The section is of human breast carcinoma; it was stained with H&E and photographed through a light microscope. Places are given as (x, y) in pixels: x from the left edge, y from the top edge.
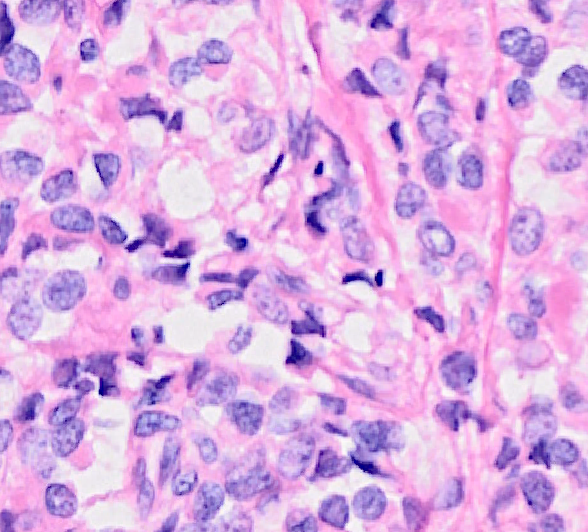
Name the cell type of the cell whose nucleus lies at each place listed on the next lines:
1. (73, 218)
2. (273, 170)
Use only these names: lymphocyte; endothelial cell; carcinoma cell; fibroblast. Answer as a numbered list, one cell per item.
1. carcinoma cell
2. fibroblast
